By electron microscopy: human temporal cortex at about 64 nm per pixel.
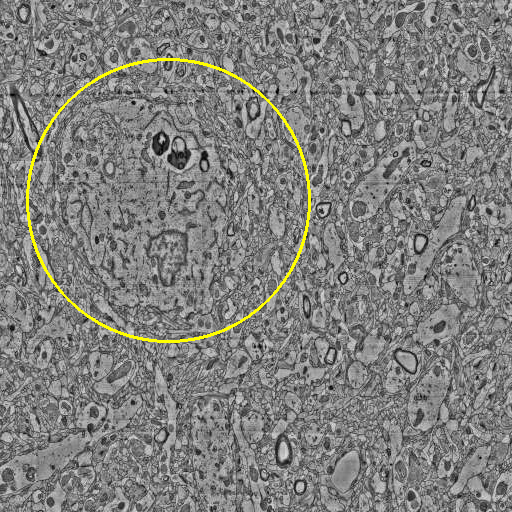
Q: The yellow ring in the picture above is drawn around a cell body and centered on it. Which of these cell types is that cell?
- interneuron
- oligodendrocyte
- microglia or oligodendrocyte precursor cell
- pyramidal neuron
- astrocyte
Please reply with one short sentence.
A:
The cell body at the ring's center belongs to a pyramidal neuron.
